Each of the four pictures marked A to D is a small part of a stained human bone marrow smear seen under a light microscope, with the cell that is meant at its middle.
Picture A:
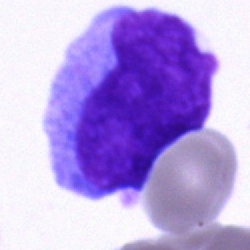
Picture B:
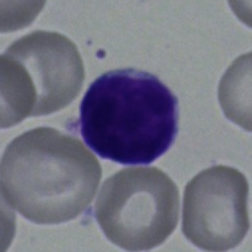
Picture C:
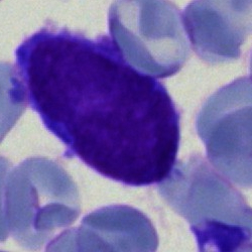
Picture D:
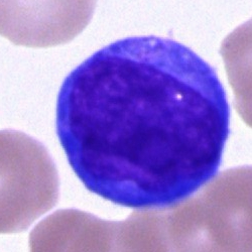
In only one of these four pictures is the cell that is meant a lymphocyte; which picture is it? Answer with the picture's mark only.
B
